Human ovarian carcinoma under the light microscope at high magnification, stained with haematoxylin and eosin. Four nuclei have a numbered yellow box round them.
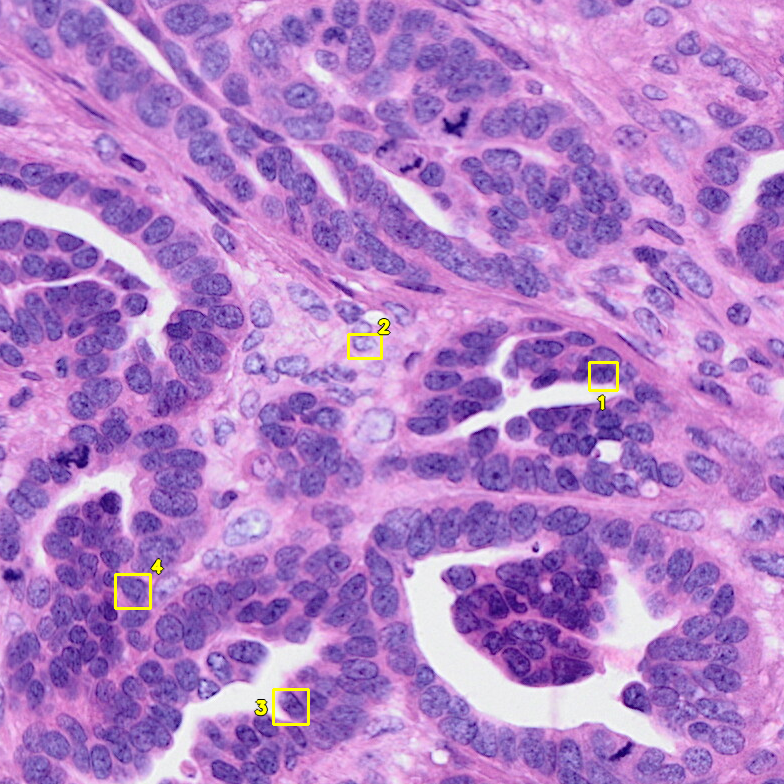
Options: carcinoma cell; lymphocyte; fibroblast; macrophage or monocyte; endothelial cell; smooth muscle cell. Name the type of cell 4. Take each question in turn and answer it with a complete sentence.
Cell 4, among those numbered, is a carcinoma cell.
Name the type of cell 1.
The cell pointed out as number 1 is a carcinoma cell.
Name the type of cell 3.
The cell referenced by the number 3 is a carcinoma cell in this field.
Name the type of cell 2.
The cell marked with the number 2 is a fibroblast.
